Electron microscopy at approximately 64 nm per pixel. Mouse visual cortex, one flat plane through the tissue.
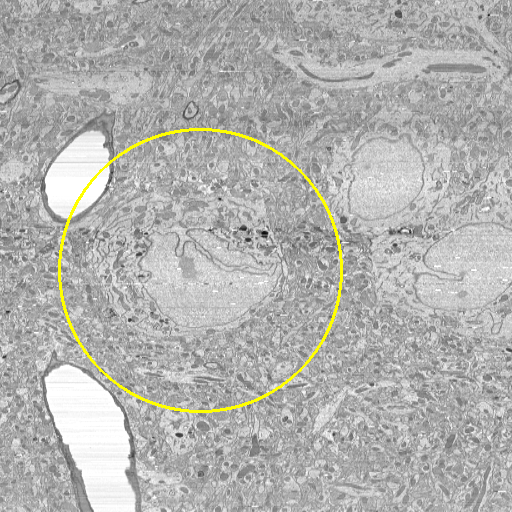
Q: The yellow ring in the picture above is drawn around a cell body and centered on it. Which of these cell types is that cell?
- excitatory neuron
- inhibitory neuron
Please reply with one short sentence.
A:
The cell body at the ring's center belongs to an inhibitory neuron.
